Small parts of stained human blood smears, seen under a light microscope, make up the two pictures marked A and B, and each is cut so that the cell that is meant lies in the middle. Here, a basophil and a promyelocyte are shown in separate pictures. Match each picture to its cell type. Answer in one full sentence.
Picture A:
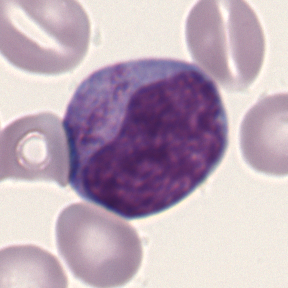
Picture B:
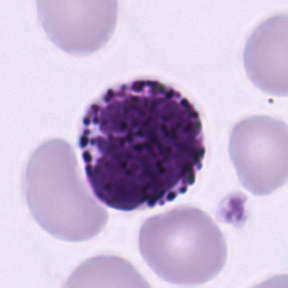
The cell in picture A is a promyelocyte, and the one in picture B is a basophil.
